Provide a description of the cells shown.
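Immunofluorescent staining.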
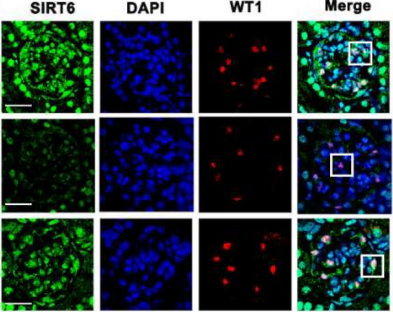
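Blue-stained nuclei fill the glomerulus and the surrounding tubular tissue. Green staining is seen in and around many cells, and where it coincides with the red nuclei the merged images show pale pink to whitish tones. The green staining is clearly weaker in the middle row than in the top and bottom rows.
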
